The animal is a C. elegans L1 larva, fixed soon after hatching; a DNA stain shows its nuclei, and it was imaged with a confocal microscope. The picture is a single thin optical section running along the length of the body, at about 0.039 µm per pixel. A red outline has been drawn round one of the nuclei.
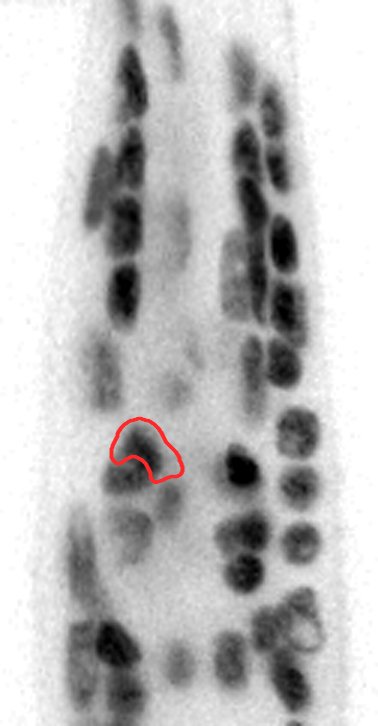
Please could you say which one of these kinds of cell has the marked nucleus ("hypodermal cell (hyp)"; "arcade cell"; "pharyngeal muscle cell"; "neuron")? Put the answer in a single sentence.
This is the nucleus of a pharyngeal muscle cell.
